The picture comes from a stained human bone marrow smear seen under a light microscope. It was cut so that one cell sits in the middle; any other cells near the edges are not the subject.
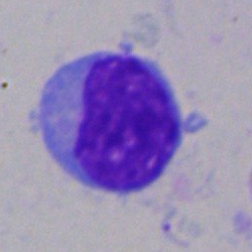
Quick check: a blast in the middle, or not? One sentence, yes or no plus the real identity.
Yes, the cell that the crop is centred on is a blast.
